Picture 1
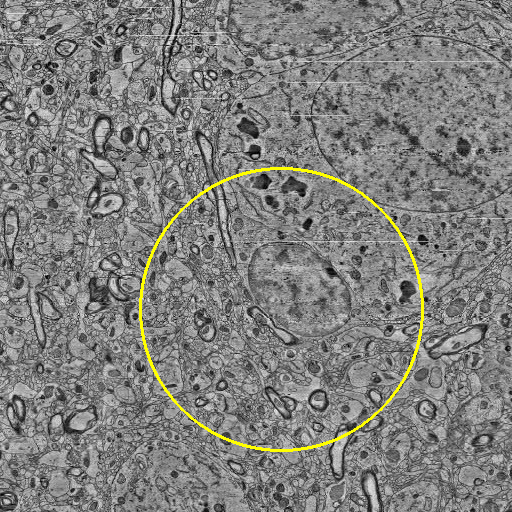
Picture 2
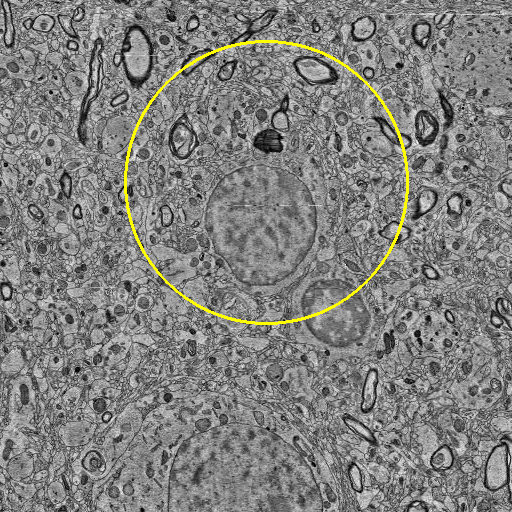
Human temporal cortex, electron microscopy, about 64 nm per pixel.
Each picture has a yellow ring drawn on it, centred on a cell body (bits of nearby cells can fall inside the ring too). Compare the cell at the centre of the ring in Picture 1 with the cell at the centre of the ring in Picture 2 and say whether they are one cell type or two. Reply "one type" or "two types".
one type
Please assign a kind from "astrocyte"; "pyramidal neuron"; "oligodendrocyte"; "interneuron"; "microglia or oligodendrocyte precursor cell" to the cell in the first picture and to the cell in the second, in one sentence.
In both pictures the ring is centred on an oligodendrocyte.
